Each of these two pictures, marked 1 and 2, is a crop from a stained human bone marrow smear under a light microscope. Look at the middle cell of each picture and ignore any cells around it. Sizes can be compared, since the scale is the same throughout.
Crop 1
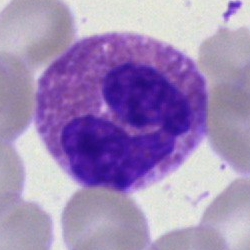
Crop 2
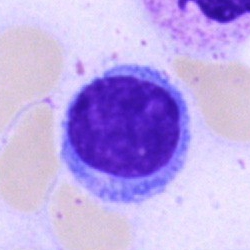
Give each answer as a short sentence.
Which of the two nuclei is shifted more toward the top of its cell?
It is the nucleus in crop 2 that lies further toward the top of its cell.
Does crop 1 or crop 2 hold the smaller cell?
Smaller is the cell in crop 2, and the other is about 1.5 times as large in area.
